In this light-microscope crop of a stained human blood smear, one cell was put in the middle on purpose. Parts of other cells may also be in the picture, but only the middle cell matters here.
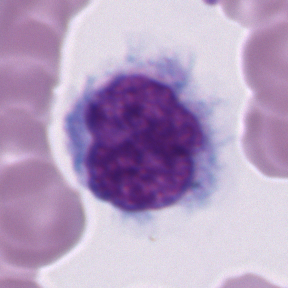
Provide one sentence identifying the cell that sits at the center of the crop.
In the center of this field lies a monocyte.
